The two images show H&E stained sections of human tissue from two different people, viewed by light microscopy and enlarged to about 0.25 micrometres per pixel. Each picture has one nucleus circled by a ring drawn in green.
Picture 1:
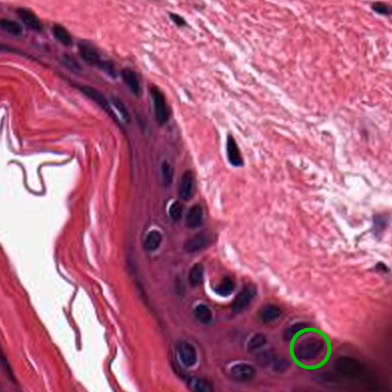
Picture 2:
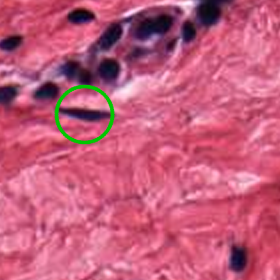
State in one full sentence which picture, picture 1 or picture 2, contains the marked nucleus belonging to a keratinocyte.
The marked nucleus that belongs to a keratinocyte lies in picture 1.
